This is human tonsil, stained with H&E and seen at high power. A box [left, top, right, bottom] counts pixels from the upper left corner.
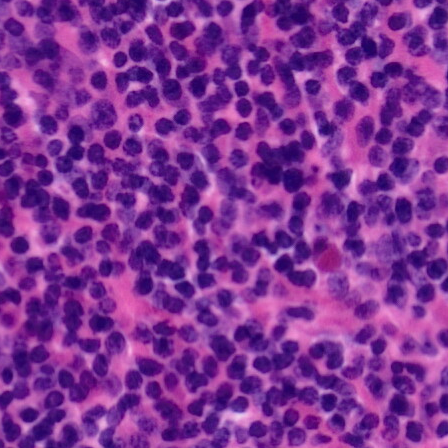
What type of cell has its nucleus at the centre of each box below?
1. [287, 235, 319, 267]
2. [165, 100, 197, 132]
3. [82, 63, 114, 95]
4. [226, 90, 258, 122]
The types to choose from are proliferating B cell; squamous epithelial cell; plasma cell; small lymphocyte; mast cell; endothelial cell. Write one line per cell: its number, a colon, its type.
1: small lymphocyte
2: small lymphocyte
3: endothelial cell
4: small lymphocyte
